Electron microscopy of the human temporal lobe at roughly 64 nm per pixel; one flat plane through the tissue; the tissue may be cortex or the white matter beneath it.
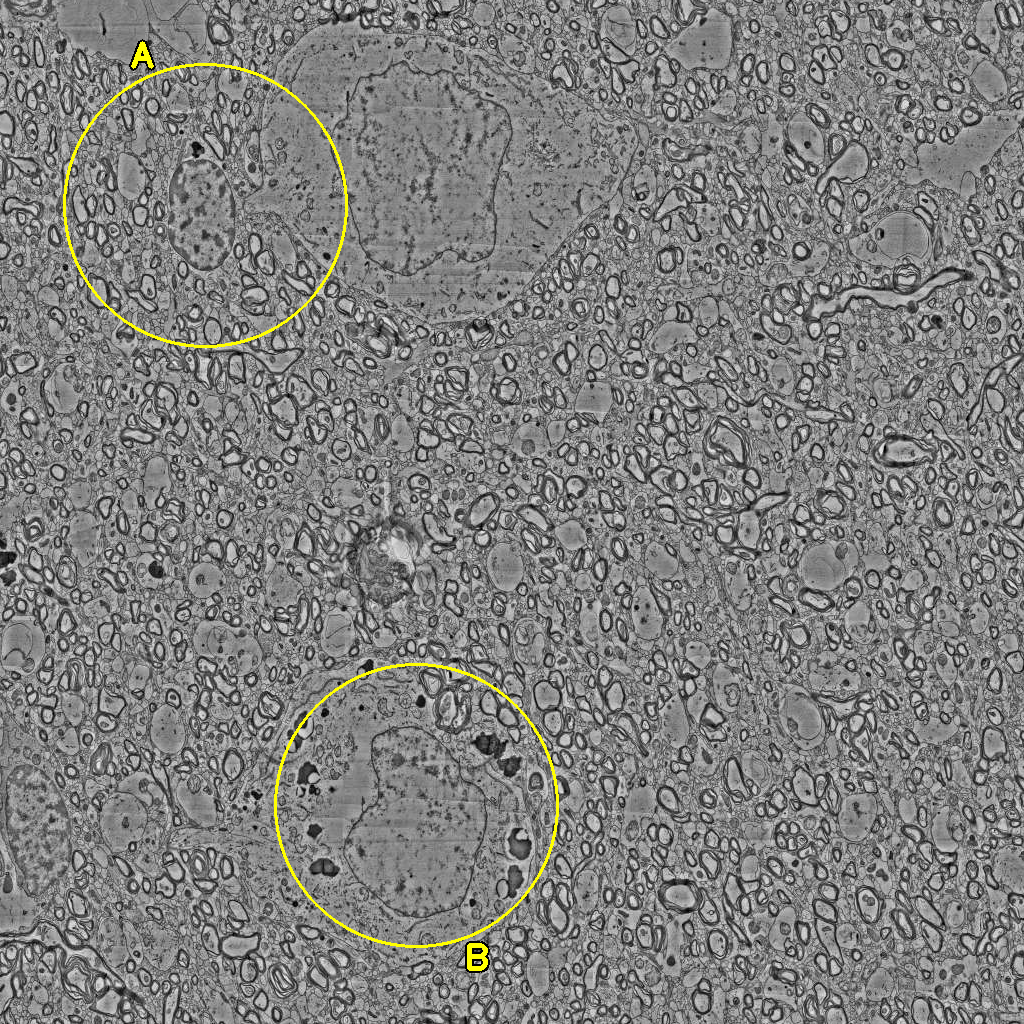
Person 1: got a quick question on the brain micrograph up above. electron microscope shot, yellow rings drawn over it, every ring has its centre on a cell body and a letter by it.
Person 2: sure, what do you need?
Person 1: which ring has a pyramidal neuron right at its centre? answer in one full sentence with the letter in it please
In that picture, ring B is centred on the cell asked for.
